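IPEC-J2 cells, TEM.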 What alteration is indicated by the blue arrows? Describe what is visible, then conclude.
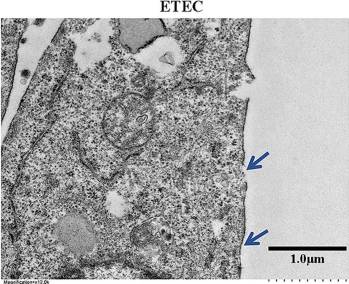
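The arrows point to the cell's outer edge. The outer membrane there looks interrupted and irregular.
Conclusion: plasma membrane perforation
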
